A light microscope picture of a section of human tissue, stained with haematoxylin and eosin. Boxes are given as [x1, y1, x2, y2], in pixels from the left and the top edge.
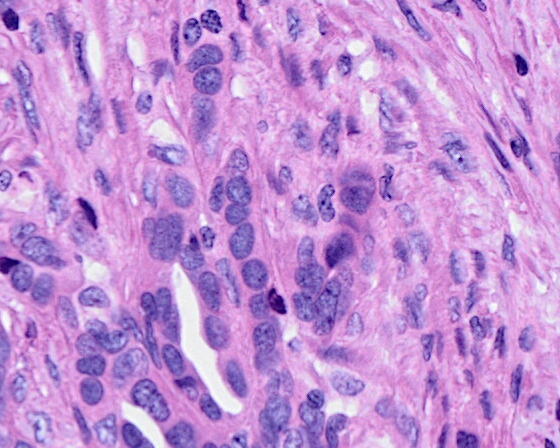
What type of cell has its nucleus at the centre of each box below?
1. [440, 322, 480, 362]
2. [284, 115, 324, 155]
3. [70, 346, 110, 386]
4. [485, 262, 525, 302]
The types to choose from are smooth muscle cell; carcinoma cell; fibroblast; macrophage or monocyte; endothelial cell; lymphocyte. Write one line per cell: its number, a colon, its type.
1: fibroblast
2: fibroblast
3: carcinoma cell
4: fibroblast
